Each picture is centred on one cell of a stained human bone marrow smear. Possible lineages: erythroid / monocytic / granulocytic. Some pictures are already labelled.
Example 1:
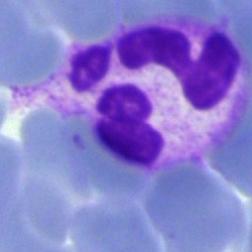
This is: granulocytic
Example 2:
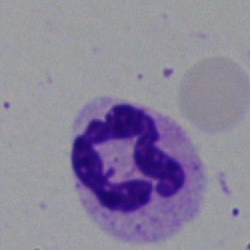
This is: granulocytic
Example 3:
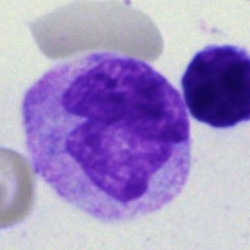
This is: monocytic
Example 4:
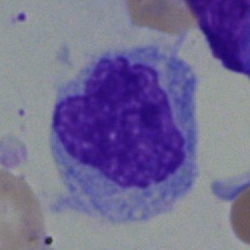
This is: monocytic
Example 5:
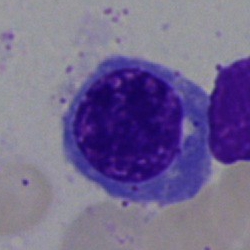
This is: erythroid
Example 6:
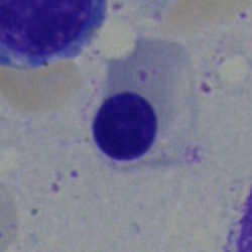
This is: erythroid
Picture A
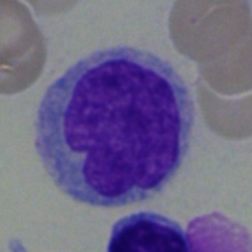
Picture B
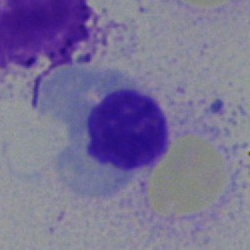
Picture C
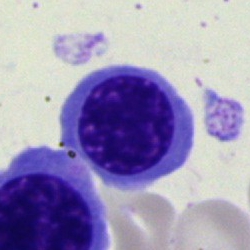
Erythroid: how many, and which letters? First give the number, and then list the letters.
Count: 2 (B, C)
